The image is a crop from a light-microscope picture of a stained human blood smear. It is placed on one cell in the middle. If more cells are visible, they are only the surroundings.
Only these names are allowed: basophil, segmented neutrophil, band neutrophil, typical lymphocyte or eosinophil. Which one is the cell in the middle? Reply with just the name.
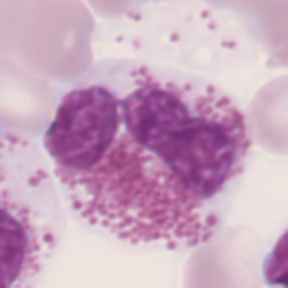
eosinophil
